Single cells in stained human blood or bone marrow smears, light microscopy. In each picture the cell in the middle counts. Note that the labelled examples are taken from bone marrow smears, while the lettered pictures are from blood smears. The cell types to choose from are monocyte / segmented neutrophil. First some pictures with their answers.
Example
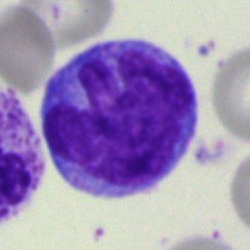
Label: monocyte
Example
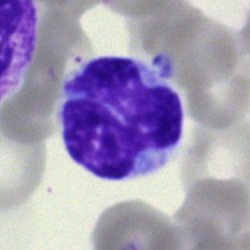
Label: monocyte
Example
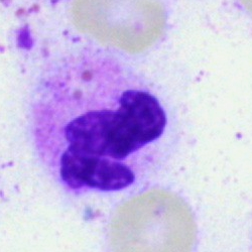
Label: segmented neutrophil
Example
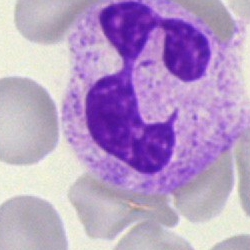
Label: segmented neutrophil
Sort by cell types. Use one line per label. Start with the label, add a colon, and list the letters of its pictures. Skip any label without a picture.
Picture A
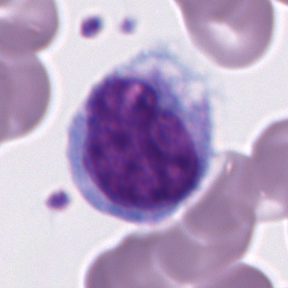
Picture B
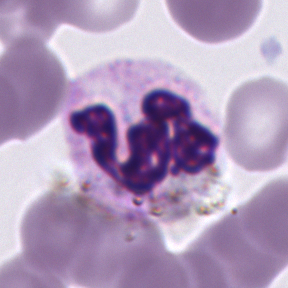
monocyte: A
segmented neutrophil: B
